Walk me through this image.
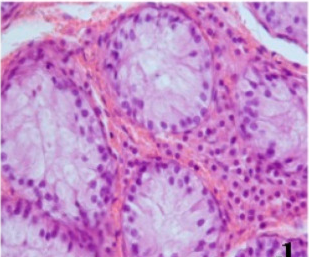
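Testis tissue at high power with round tubules lined by a single kind of cell: tall cells with pale, finely vacuolated pink cytoplasm that fills the tubule and nuclei lying near the wall. There are no stacked germ cells and no sperm; these are tubules lined only by Sertoli cells. Thin pink connective tissue separates the tubules, and between them lie cells with more strongly pink cytoplasm and round nuclei, consistent with Leydig cells, along with some red blood cells in the interstitium.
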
